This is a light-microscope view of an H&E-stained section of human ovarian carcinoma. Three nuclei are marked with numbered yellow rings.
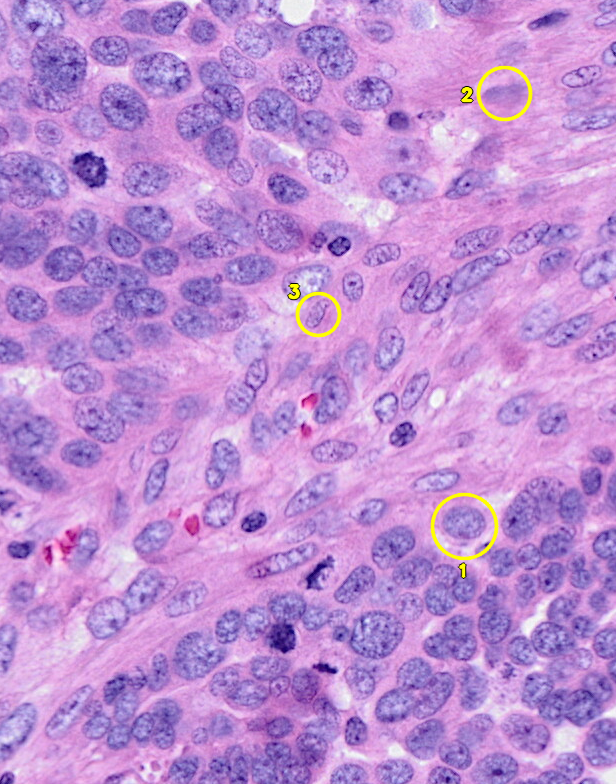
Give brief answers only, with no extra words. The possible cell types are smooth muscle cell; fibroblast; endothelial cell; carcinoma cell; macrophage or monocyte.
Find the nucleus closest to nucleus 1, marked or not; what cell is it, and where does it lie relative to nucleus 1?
a macrophage or monocyte below and to the right of nucleus 1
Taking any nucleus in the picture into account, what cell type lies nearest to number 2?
fibroblast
